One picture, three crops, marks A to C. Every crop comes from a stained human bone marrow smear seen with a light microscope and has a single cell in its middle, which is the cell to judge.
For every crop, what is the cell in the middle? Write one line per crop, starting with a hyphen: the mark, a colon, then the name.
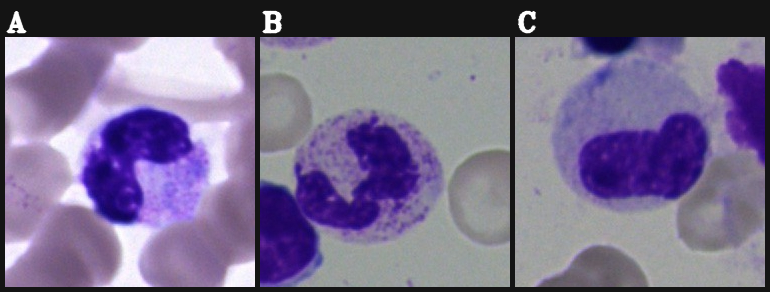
- A: segmented neutrophil
- B: segmented neutrophil
- C: band neutrophil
